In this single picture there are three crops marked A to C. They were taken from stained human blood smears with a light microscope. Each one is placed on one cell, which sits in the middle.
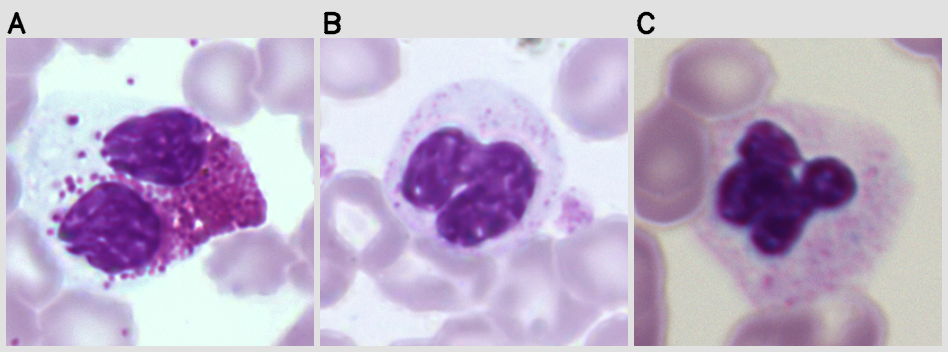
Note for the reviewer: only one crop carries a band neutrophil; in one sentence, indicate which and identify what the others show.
Regarding crop B, it shows a band neutrophil, while crop A is an eosinophil and crop C is a segmented neutrophil.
